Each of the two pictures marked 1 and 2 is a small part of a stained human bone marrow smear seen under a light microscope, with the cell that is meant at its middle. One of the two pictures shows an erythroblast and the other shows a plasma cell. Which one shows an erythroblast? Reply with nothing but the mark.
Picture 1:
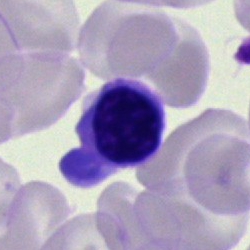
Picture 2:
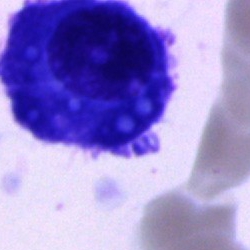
1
